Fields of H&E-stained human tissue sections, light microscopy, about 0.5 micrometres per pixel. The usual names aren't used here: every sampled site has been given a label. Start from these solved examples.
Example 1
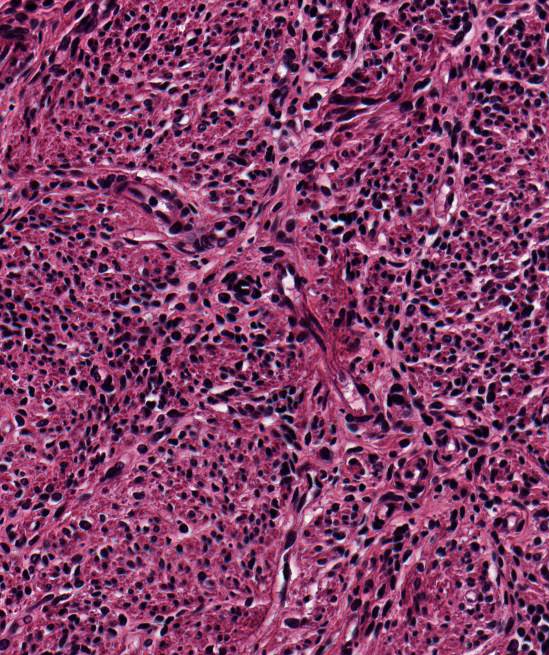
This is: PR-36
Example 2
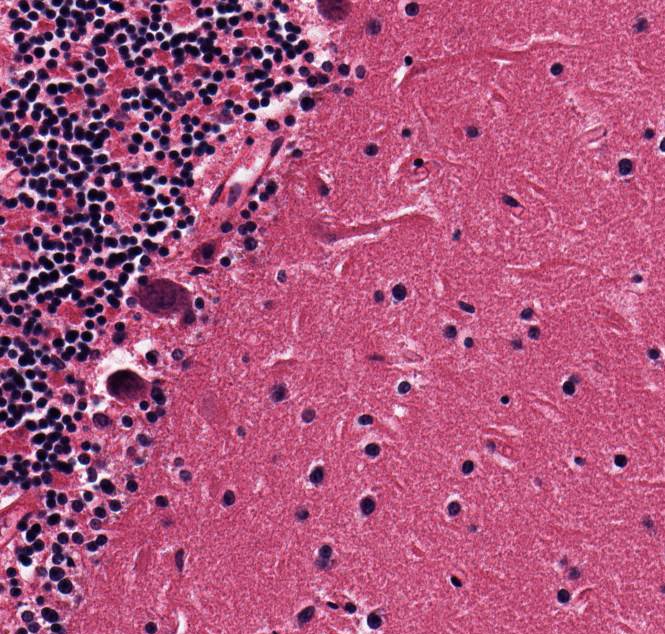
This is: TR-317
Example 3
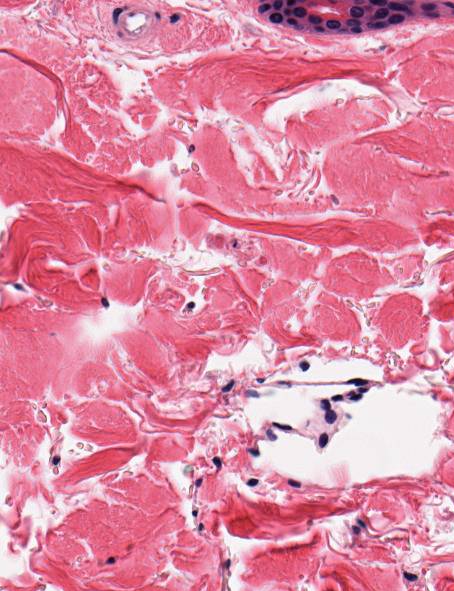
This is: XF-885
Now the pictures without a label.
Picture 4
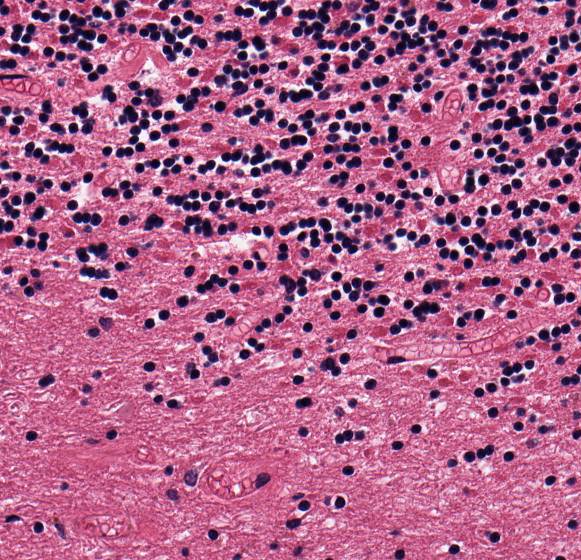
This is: TR-317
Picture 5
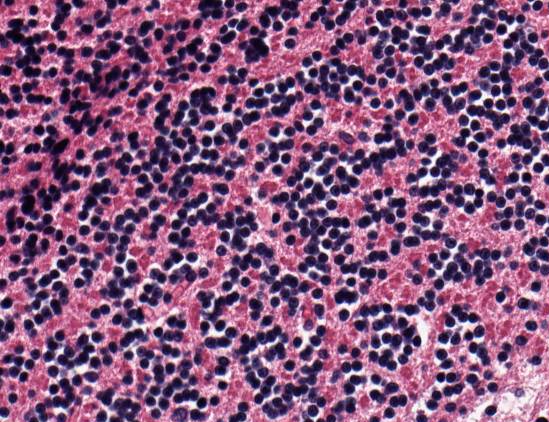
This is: TR-317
